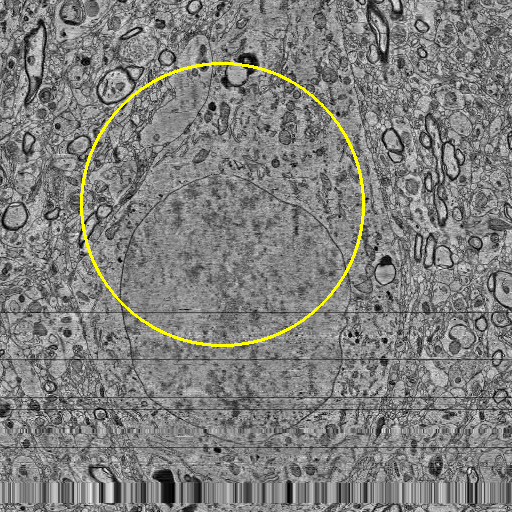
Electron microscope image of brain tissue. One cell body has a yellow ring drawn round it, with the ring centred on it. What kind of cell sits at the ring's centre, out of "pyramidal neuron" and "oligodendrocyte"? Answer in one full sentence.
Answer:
It is a pyramidal neuron whose cell body sits at the centre of the yellow ring.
